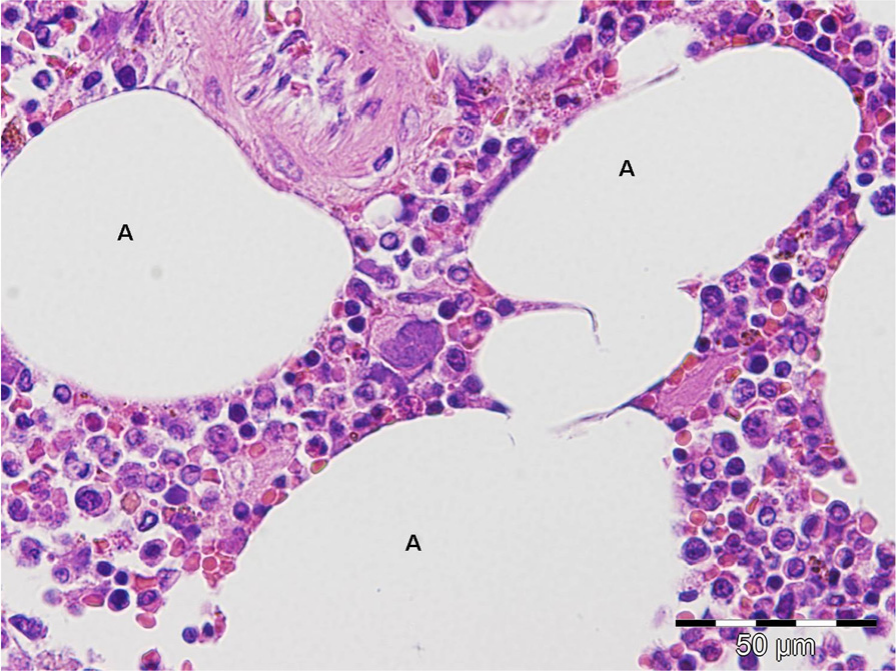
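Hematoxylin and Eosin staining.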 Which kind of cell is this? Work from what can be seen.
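Densely packed small round cells with purple nuclei fill the spaces between the fat vacuoles. Pink-red anucleate cells and small cells with dark round nuclei are mixed in. A single much larger cell with a big lobulated purple nucleus lies near the centre. On this evidence: haematopoietic cells.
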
